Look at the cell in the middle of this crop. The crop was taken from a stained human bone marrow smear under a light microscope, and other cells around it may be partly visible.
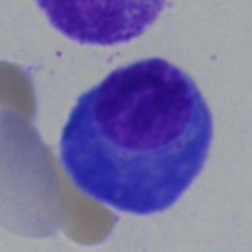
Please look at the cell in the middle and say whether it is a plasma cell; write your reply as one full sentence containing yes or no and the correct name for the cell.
Yes, a plasma cell is present in the middle of the crop.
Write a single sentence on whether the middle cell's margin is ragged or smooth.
Edge check done: smooth outline, no projections present.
